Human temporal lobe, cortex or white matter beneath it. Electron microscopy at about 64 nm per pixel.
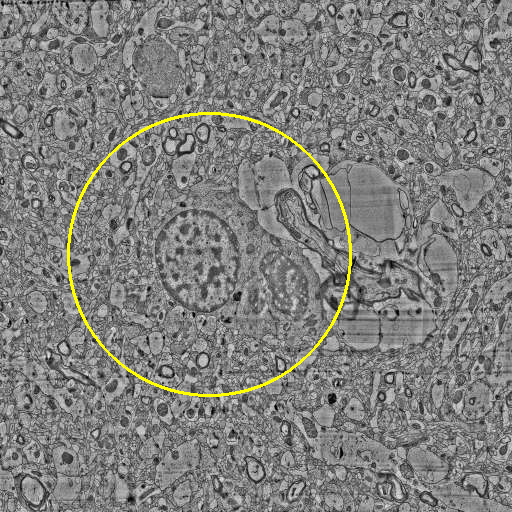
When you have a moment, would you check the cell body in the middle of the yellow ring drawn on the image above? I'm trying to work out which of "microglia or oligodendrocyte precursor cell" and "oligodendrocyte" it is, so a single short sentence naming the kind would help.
This cell body belongs to an oligodendrocyte.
